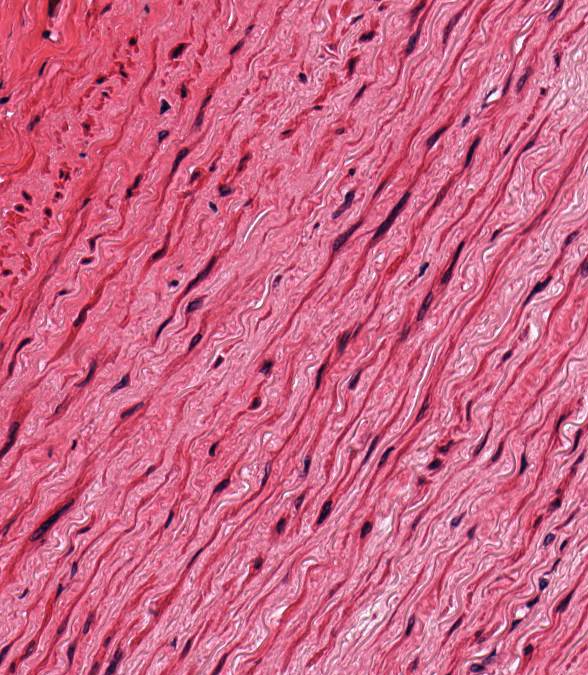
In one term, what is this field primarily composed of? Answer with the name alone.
tunica media of an artery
